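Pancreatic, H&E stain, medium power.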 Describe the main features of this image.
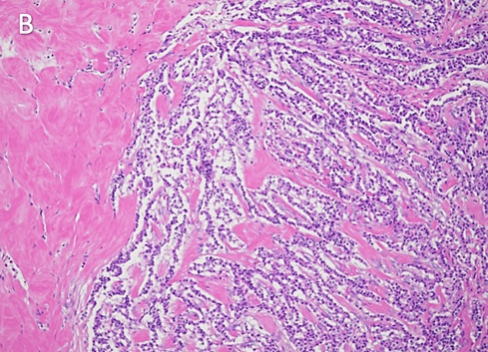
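A neuroendocrine tumor with an area of sclerosis, where dense, pale pink, largely acellular collagen fills the left part of the field. To the right, tumor cells with small round purple nuclei form anastomosing cords and trabeculae separated by pink fibrous bands.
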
